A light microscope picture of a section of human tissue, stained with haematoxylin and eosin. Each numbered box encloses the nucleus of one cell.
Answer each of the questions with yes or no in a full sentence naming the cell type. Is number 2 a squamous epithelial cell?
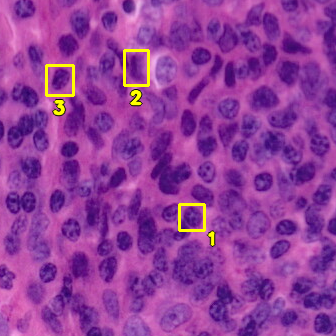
Yes, the cell labelled with number 2 is a squamous epithelial cell.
